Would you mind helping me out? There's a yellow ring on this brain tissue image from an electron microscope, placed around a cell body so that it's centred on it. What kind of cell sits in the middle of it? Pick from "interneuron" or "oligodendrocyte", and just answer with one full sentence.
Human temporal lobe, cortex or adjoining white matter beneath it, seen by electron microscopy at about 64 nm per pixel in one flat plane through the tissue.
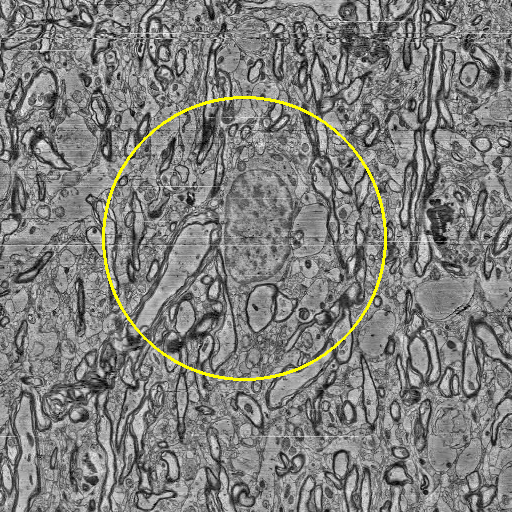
What sits in the middle of that yellow ring is an oligodendrocyte, from your choices.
